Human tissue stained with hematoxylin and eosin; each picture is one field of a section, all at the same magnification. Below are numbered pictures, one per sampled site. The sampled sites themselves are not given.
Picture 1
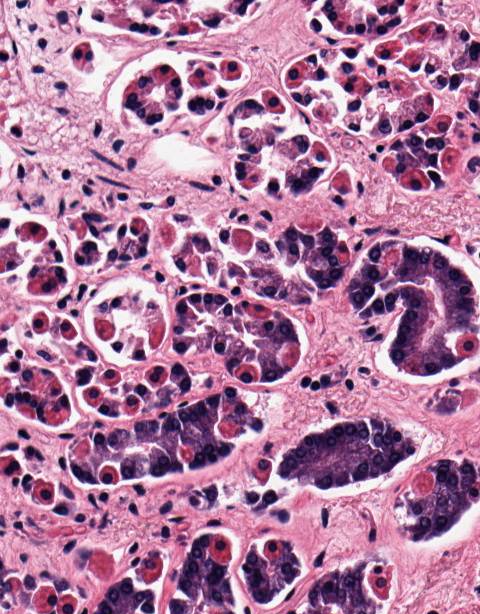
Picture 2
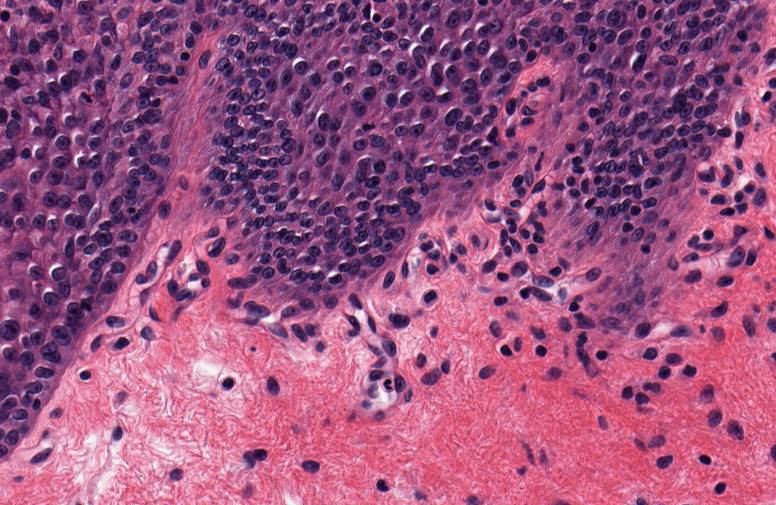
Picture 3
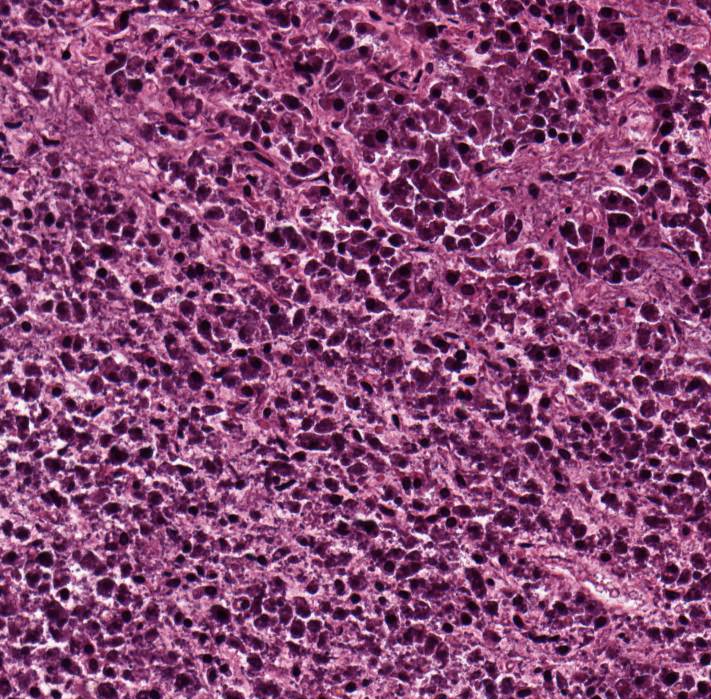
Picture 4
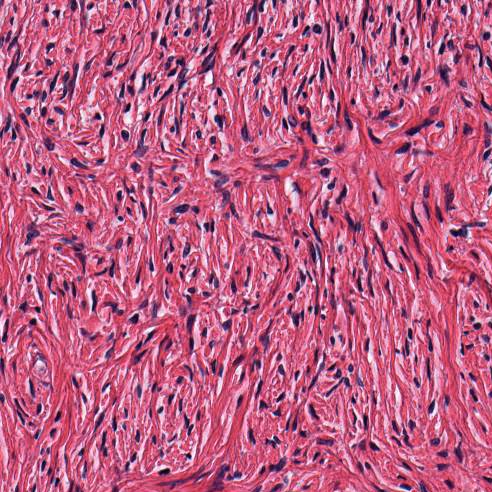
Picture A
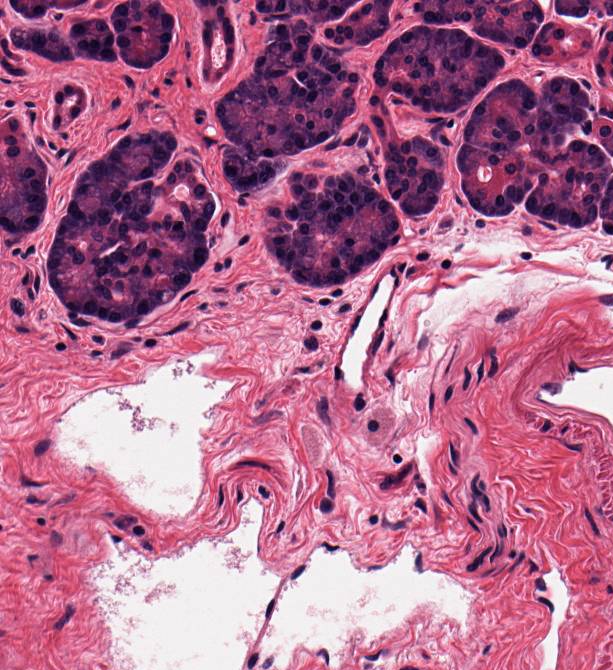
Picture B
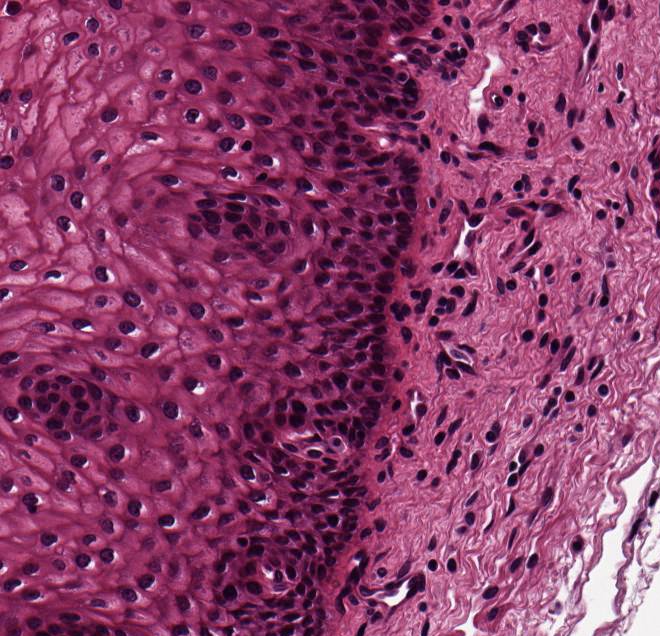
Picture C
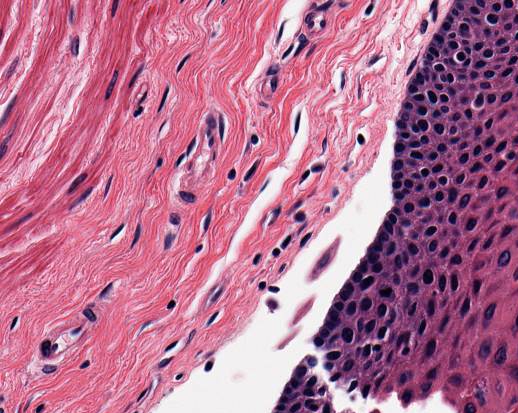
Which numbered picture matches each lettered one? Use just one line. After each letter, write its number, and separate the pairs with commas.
A 3, B 2, C 2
